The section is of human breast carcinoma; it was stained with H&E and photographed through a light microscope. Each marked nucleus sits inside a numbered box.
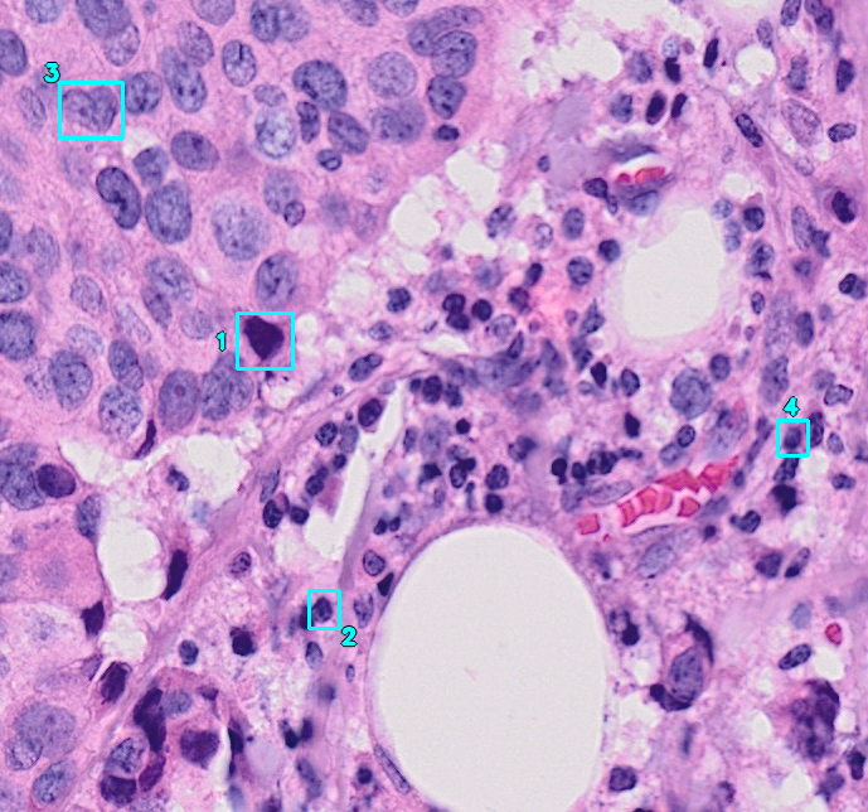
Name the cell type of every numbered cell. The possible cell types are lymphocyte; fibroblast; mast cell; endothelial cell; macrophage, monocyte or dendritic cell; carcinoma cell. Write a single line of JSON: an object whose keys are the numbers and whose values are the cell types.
{"1": "carcinoma cell", "2": "lymphocyte", "3": "carcinoma cell", "4": "lymphocyte"}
